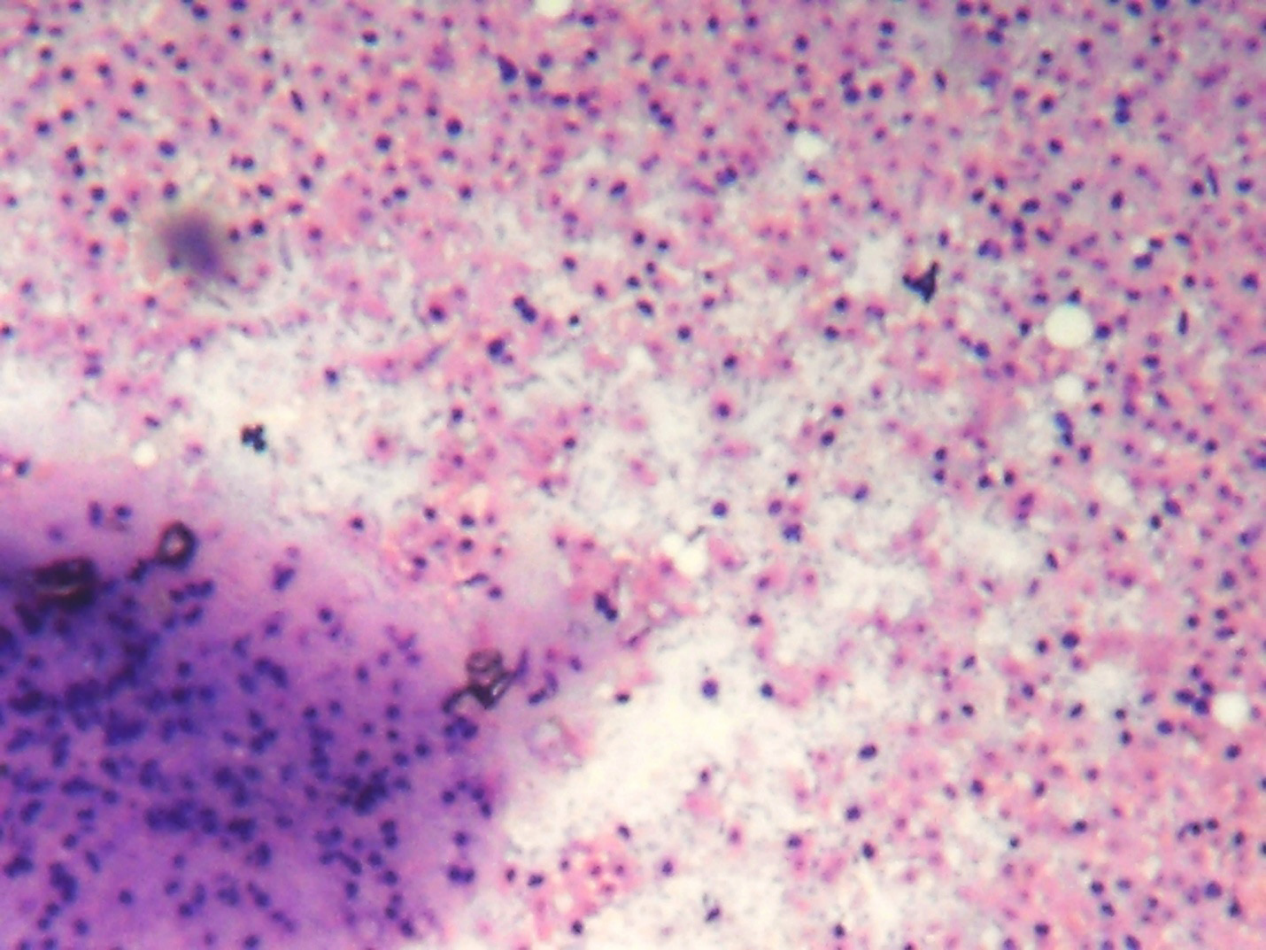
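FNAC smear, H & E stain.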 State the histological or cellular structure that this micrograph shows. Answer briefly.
Fibromyxoid stroma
